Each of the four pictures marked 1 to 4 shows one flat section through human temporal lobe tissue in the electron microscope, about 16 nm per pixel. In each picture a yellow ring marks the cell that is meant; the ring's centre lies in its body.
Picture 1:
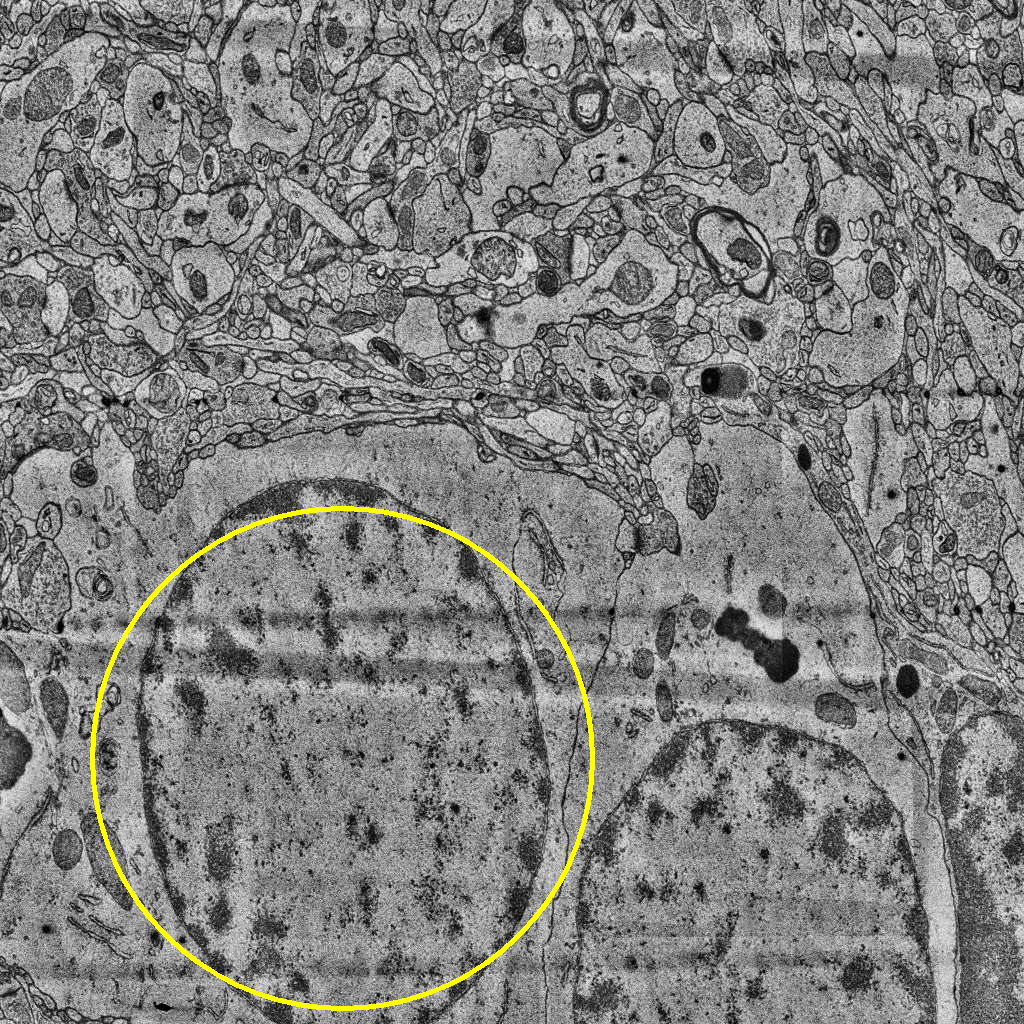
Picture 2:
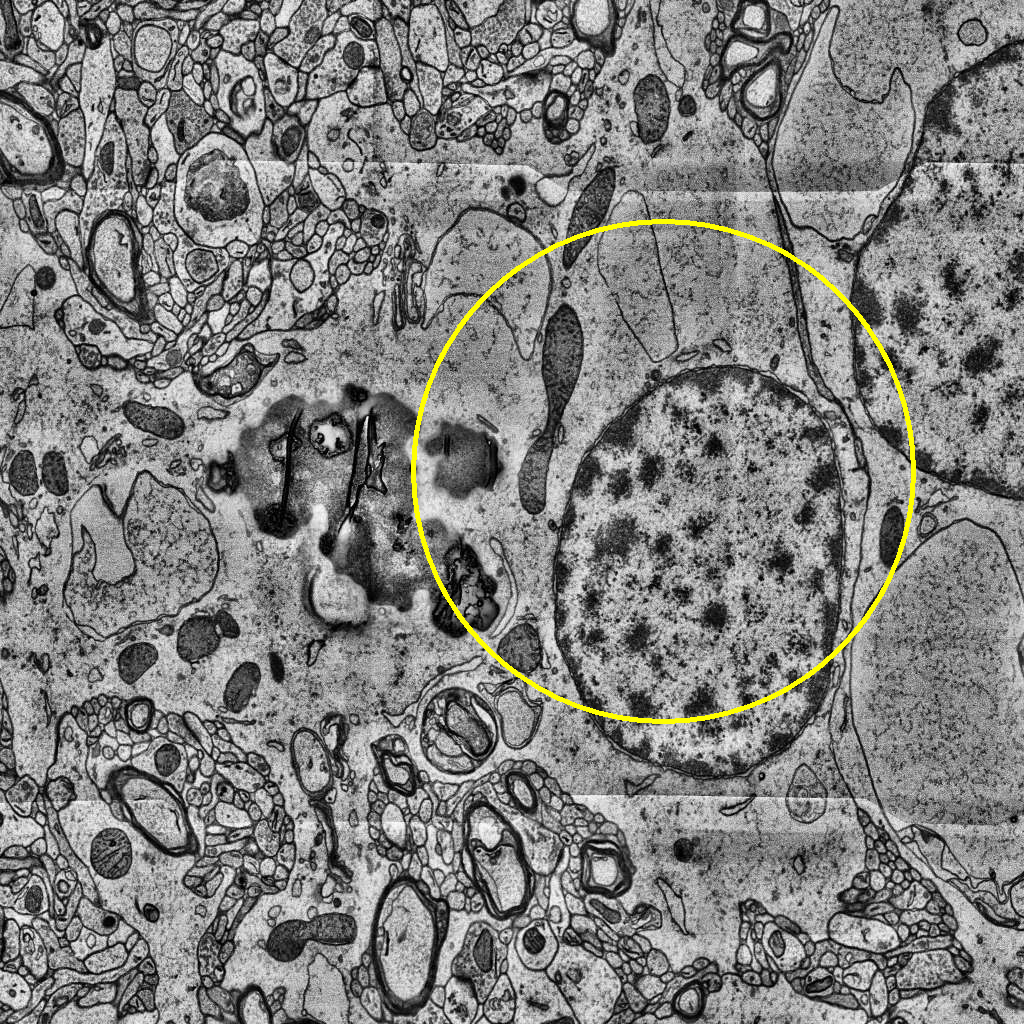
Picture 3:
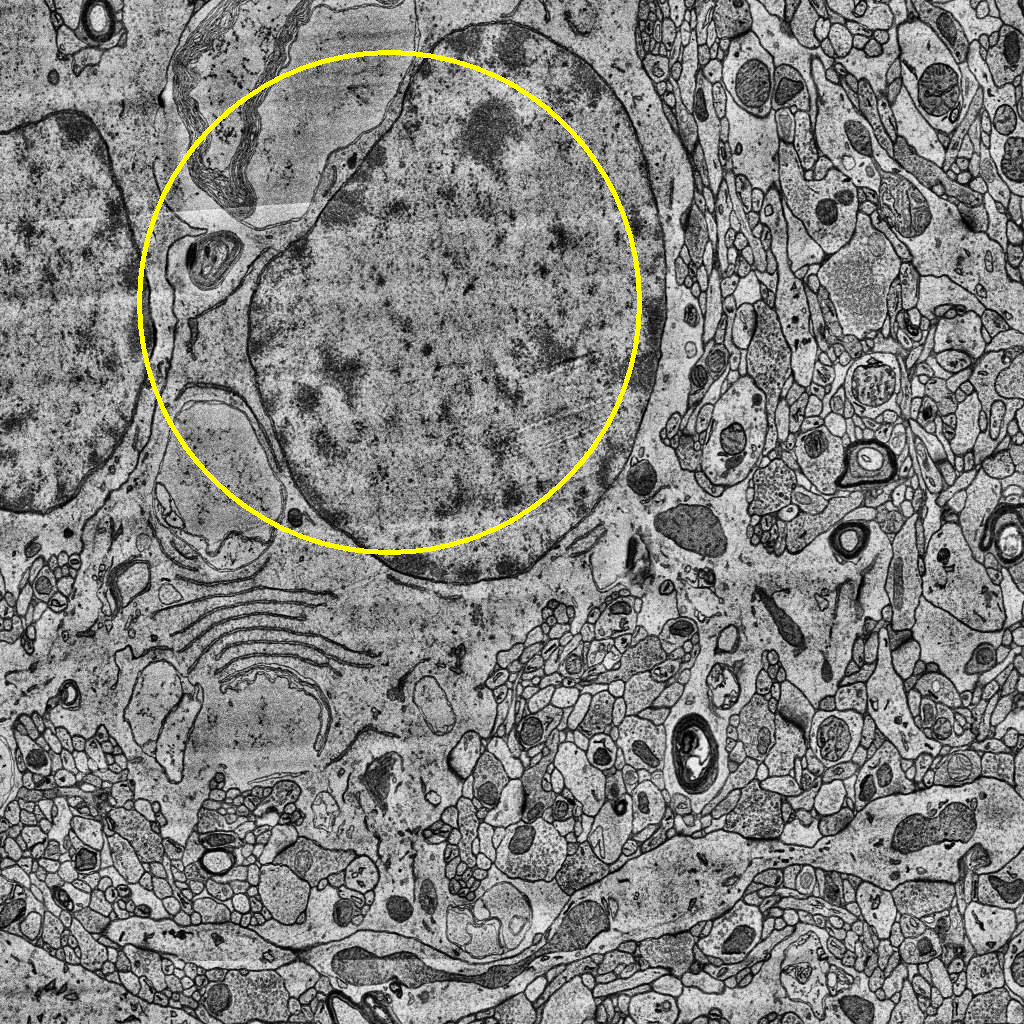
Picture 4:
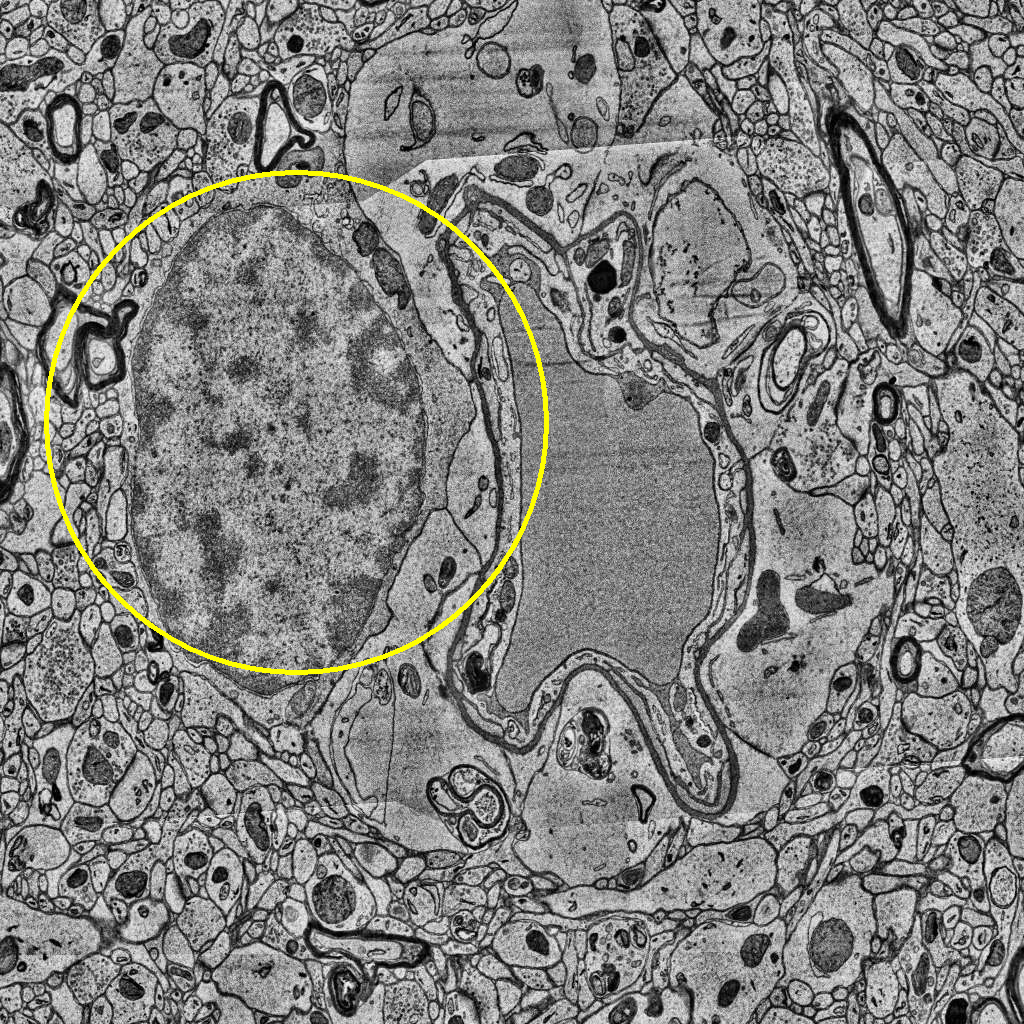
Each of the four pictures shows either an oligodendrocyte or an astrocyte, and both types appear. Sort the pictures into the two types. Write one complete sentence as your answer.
Picture 4 shows an oligodendrocyte, and pictures 1, 2 and 3 show astrocytes.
